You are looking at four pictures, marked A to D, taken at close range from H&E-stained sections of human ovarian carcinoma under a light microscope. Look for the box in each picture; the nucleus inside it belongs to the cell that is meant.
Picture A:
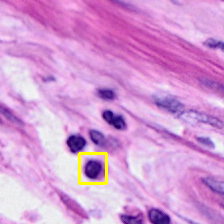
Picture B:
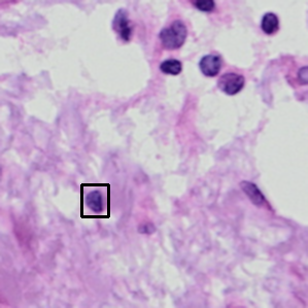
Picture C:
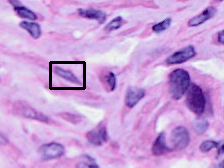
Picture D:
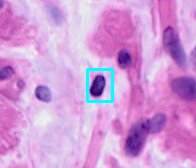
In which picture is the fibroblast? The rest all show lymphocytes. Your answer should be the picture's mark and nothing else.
C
